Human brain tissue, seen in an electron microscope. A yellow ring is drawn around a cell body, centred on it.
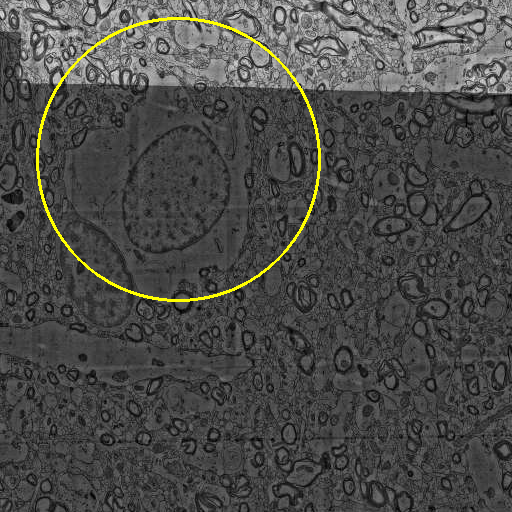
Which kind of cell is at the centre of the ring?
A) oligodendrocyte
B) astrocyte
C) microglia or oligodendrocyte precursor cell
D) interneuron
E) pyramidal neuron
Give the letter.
B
